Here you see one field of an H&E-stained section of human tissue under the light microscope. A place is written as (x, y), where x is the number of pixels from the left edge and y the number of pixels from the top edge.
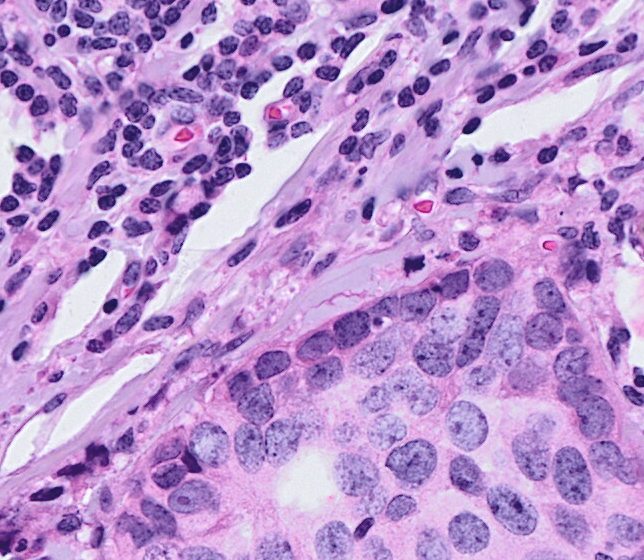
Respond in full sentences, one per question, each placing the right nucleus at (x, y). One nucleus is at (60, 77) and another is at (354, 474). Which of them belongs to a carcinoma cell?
The nucleus at (354, 474) is assigned to a carcinoma cell.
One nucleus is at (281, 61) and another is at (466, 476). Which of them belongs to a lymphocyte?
Of the two nuclei, the one at (281, 61) belongs to a lymphocyte.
